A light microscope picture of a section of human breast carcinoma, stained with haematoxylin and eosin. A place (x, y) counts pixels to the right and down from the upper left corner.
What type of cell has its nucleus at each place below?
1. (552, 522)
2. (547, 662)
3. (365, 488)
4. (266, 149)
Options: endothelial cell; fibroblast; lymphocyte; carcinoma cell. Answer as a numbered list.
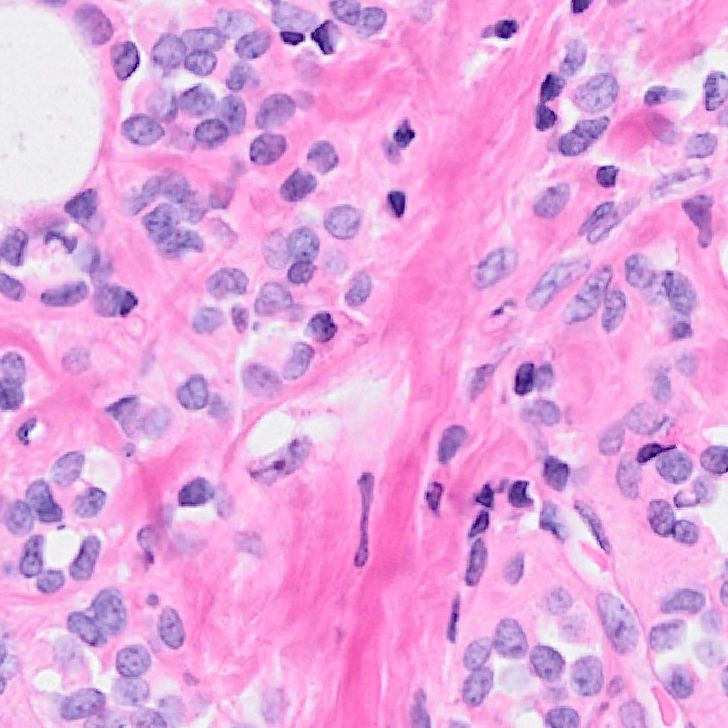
1. endothelial cell
2. carcinoma cell
3. fibroblast
4. carcinoma cell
